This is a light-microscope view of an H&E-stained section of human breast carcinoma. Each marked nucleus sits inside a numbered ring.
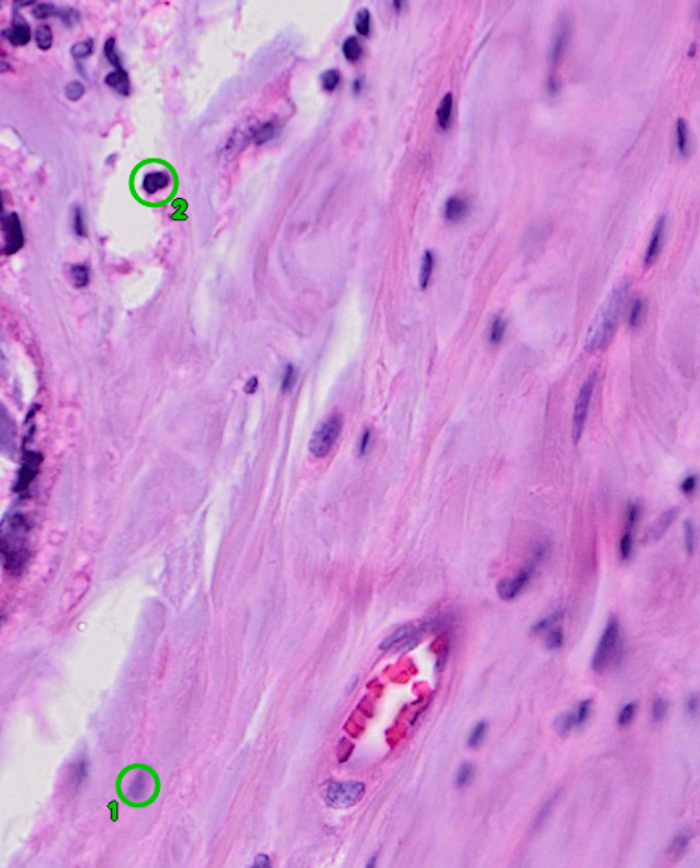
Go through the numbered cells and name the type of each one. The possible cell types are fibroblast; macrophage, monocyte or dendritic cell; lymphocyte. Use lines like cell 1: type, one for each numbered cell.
cell 1: fibroblast
cell 2: lymphocyte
